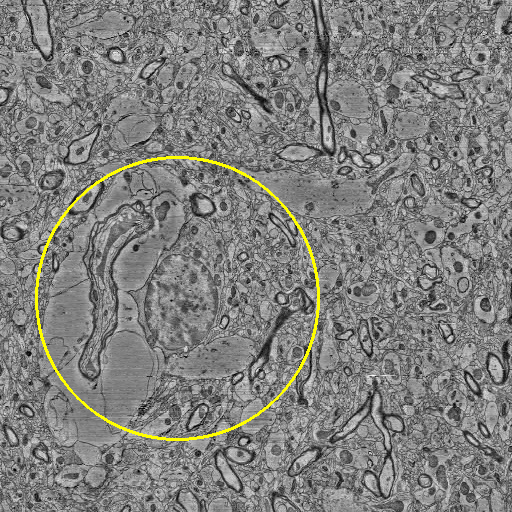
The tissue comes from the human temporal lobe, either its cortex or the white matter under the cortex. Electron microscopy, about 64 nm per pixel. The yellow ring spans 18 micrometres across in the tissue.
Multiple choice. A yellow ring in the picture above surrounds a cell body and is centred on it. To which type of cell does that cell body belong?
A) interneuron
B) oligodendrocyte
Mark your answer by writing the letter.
B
